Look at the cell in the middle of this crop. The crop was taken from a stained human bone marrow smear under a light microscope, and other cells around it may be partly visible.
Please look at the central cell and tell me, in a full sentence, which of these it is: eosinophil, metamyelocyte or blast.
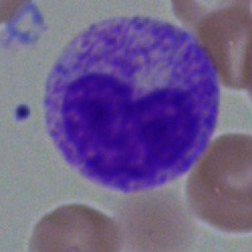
The centrally placed cell is classified as a metamyelocyte.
